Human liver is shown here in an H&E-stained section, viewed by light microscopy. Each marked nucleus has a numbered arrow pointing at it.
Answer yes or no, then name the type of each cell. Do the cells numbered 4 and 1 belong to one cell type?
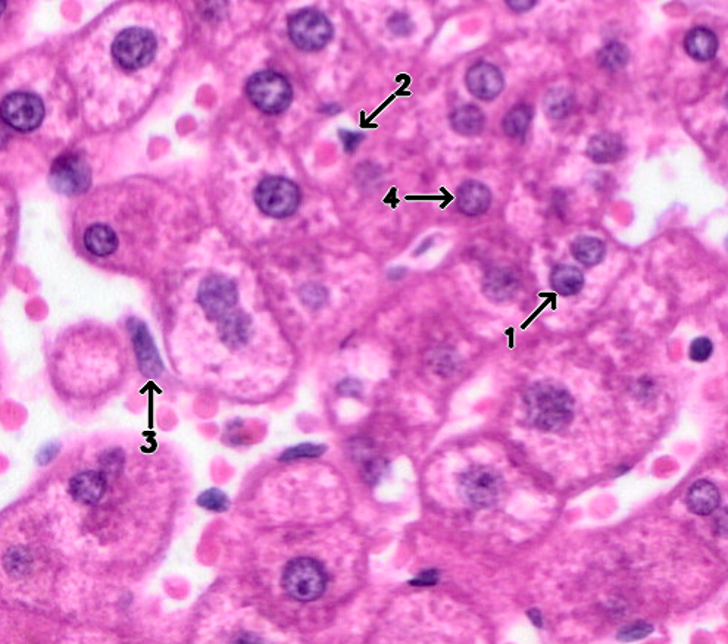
Yes, as for cells 4 and 1, both are hepatocytes.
